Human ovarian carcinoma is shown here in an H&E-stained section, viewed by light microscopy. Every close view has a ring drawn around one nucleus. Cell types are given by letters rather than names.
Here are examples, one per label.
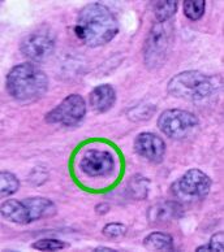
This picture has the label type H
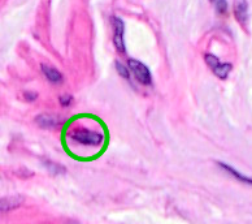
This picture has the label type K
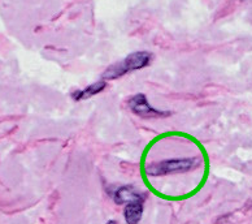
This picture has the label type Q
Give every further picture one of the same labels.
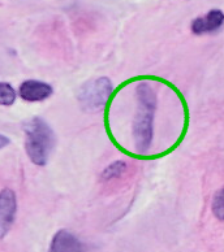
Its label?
type Q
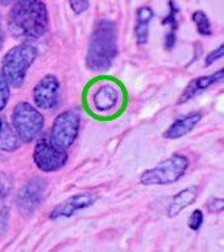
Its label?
type Q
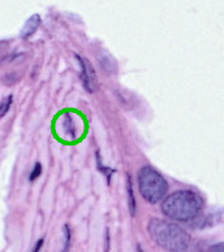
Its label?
type Q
